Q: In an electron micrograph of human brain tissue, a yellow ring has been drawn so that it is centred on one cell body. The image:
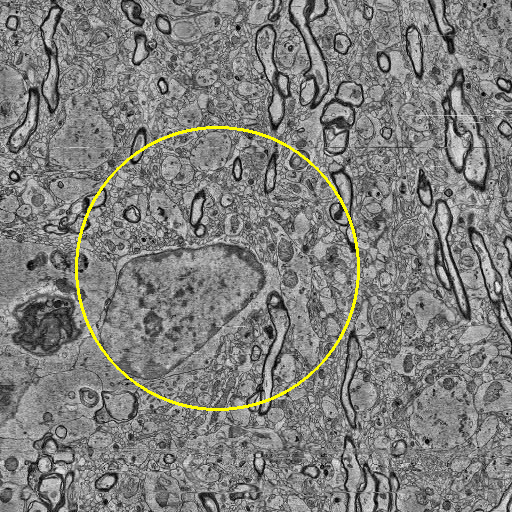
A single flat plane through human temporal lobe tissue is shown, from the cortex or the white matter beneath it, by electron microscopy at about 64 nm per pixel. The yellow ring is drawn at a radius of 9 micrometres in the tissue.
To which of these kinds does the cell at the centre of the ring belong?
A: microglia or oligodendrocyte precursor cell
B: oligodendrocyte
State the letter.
A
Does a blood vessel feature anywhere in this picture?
Yes, a blood vessel shows in the picture.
